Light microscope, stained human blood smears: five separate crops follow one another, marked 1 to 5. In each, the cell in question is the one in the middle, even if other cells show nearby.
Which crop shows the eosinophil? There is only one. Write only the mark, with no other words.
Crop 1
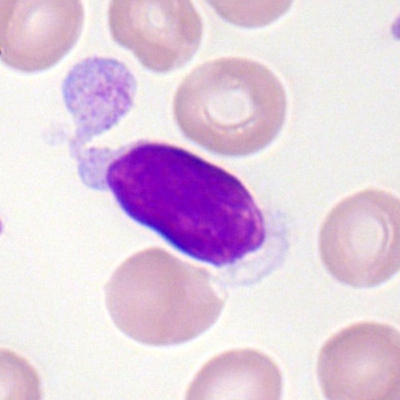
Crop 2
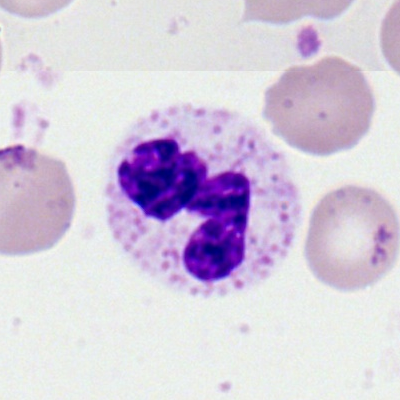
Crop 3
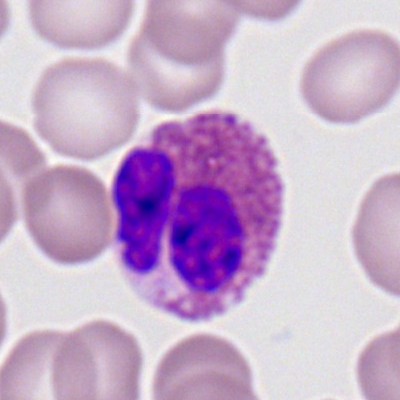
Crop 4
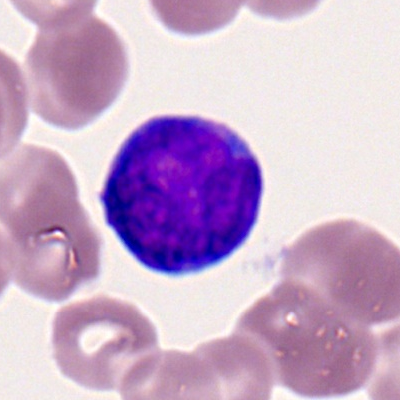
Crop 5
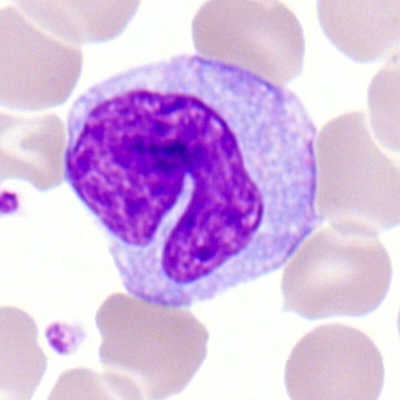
3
